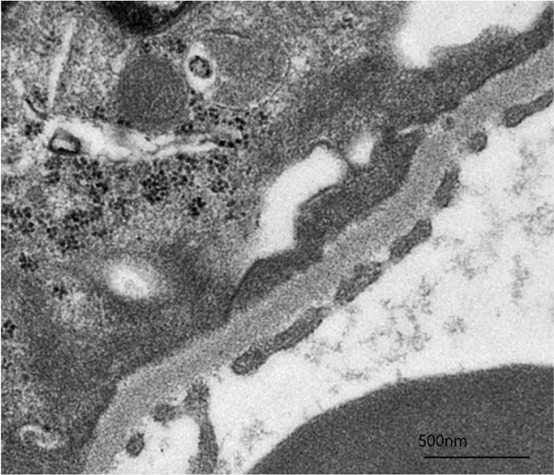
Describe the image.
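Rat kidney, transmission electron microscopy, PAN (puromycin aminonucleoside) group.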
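Here the podocyte on the glomerular basement membrane no longer stands on separate feet: its cytoplasm is spread as a broad, continuous layer along the grey membrane, with hardly any slits between processes. Below the membrane a thin endothelial lining in short dark segments borders the pale capillary lumen, in which part of a dense red blood cell can be seen.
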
